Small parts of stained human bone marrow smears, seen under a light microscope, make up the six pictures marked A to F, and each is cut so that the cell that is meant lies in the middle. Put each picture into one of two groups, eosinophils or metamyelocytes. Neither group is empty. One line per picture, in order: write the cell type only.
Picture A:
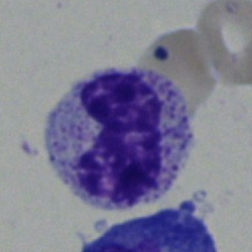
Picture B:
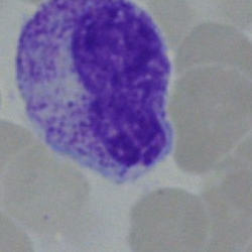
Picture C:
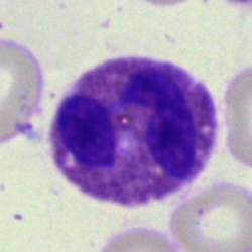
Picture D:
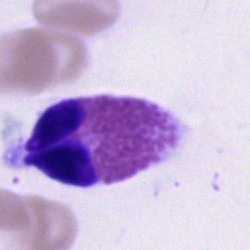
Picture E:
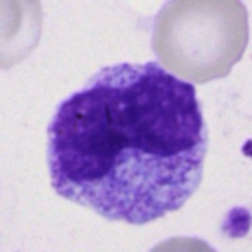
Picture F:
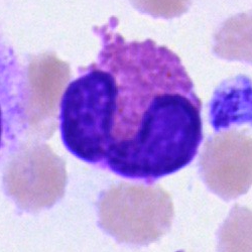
metamyelocyte
metamyelocyte
eosinophil
eosinophil
metamyelocyte
eosinophil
